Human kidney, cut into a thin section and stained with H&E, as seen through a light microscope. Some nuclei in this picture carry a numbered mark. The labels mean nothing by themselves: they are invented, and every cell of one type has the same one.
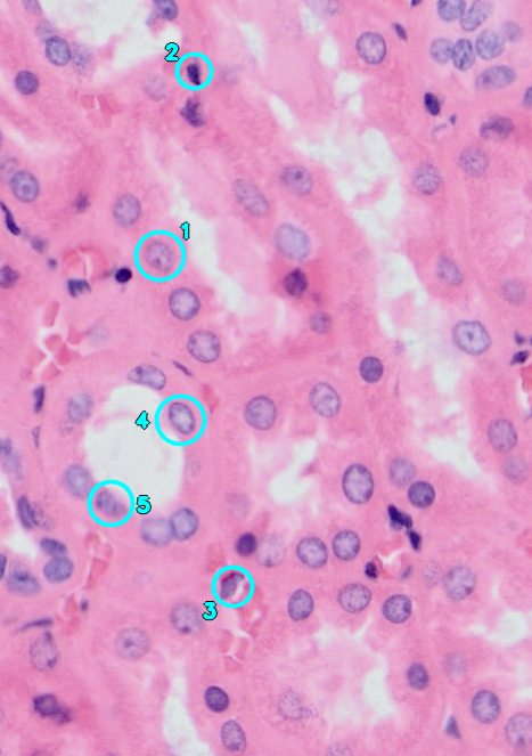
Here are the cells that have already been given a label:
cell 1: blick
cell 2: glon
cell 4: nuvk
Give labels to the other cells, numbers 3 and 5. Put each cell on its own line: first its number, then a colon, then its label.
3: glon
5: nuvk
